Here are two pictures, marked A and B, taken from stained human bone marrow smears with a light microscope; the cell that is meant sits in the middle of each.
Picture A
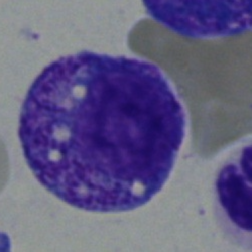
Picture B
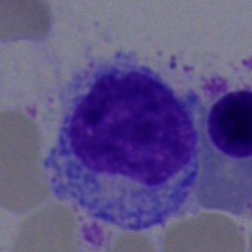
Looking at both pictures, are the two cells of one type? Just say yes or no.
yes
